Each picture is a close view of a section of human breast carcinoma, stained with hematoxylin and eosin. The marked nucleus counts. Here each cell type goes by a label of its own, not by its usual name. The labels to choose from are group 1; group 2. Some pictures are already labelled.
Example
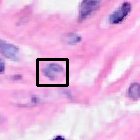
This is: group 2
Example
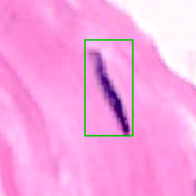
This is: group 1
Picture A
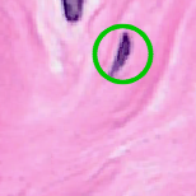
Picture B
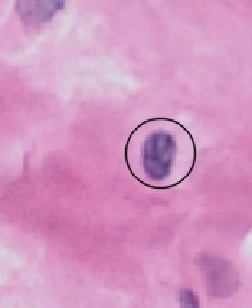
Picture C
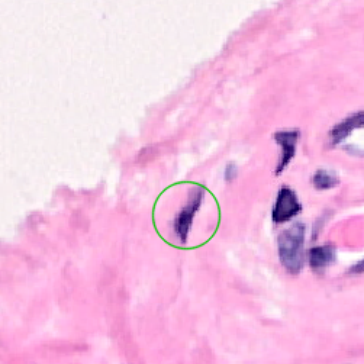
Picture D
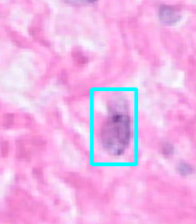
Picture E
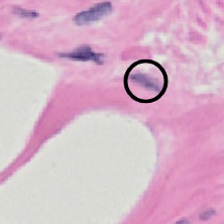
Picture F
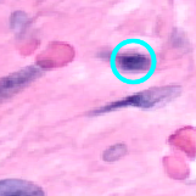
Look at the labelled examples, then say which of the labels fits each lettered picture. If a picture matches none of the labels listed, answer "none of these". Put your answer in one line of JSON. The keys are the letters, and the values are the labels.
{"A": "group 1", "B": "none of these", "C": "group 1", "D": "group 1", "E": "group 1", "F": "group 2"}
